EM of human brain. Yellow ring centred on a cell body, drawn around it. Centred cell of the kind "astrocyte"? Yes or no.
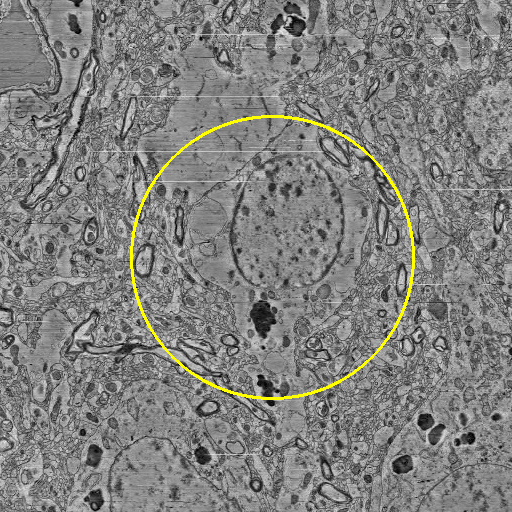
yes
